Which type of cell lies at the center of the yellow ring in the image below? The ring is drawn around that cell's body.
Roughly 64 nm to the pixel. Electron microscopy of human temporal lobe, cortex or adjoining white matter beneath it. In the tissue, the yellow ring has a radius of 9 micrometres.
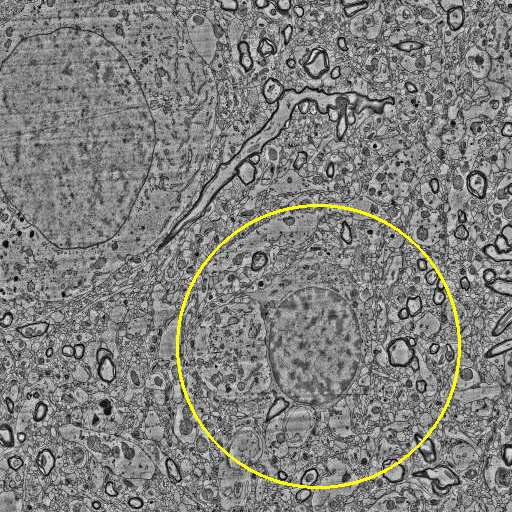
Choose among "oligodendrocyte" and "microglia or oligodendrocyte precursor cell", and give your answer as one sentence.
The cell body at the center belongs to an oligodendrocyte.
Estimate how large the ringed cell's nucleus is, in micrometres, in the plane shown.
In this plane, roughly 8 by 6 micrometres.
